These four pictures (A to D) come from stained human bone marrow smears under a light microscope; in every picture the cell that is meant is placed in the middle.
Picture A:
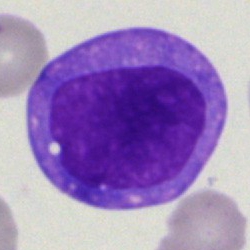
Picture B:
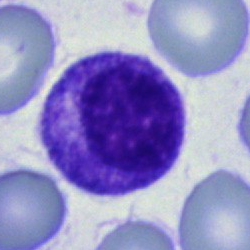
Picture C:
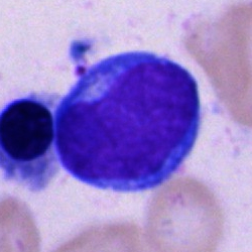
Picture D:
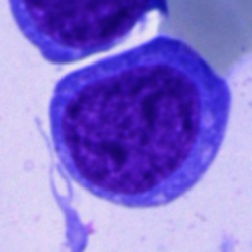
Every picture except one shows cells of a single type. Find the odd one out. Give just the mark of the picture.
B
